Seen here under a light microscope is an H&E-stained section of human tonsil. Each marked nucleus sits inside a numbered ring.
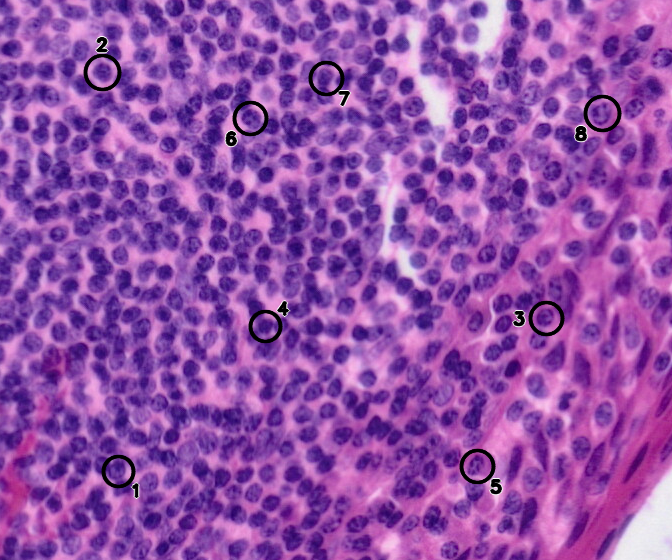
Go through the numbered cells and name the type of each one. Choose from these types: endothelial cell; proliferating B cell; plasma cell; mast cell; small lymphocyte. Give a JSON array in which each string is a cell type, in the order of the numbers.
["small lymphocyte", "small lymphocyte", "plasma cell", "small lymphocyte", "plasma cell", "small lymphocyte", "small lymphocyte", "plasma cell"]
